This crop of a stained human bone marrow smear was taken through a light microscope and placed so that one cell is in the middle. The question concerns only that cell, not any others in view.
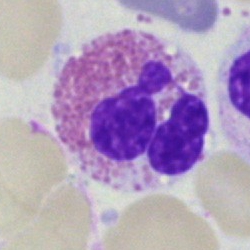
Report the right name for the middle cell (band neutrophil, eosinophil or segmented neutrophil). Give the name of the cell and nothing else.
eosinophil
